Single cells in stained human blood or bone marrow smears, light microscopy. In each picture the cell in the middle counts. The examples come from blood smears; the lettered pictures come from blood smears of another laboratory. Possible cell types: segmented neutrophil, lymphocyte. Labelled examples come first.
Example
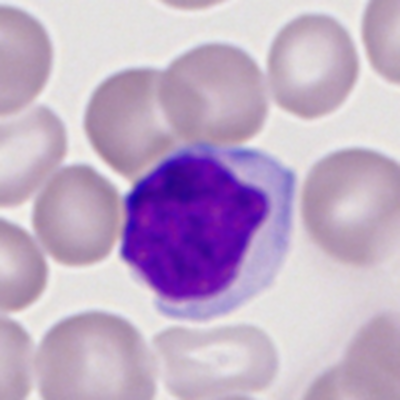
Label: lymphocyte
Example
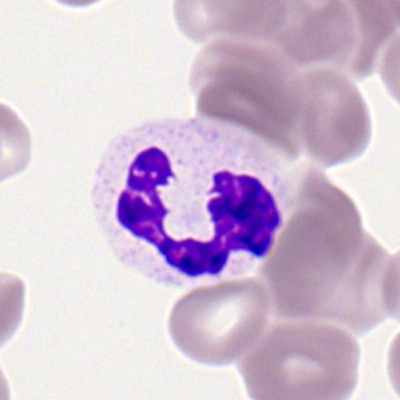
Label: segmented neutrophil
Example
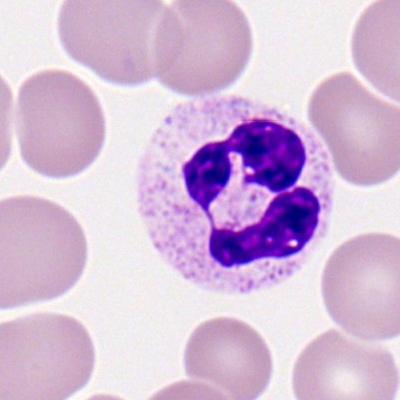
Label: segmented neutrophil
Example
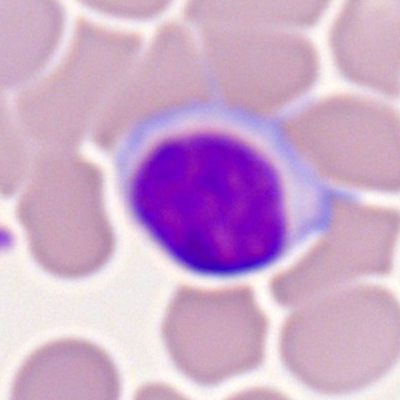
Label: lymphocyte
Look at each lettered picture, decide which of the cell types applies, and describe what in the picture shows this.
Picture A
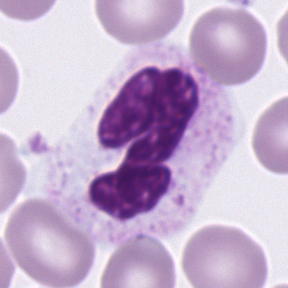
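segmented neutrophil. Reason: The cytoplasm is plentiful and pale pinkish-lilac.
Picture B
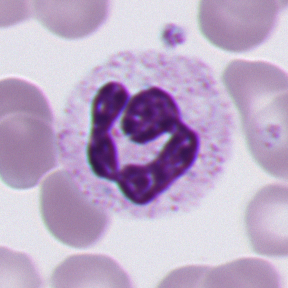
segmented neutrophil. Reason: The cytoplasm is abundant and pale pinkish-lilac.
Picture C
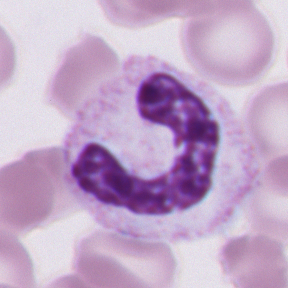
segmented neutrophil. Reason: The cytoplasm is plentiful and pale pinkish-lilac.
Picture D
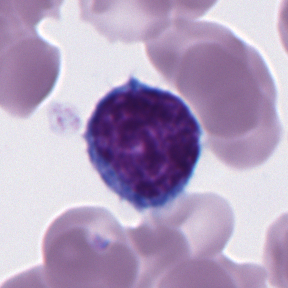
lymphocyte. Reason: The cytoplasm forms a scant rim that is widest at the lower left.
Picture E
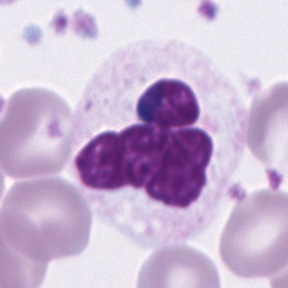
segmented neutrophil. Reason: The cytoplasm is abundant and very pale pink.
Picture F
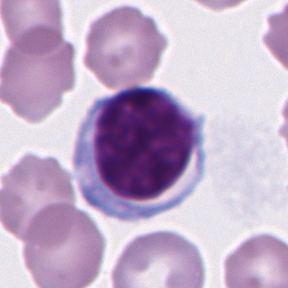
lymphocyte. Reason: The cytoplasm is a scant, pale blue rim around the nucleus.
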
